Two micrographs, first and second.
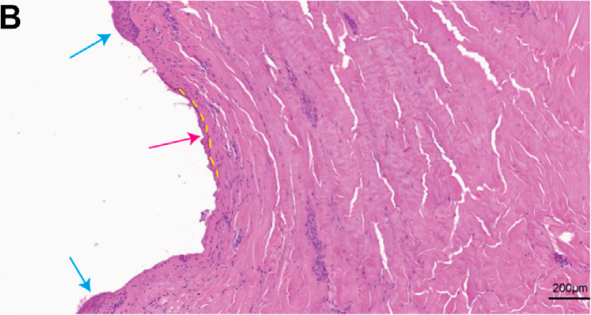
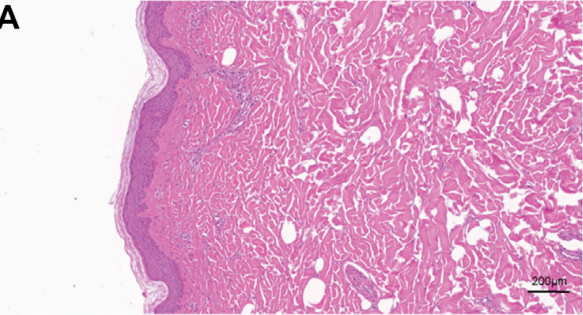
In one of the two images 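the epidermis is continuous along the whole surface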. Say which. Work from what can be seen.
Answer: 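First image: the surface cell layer is missing over most of the surface, leaving only remnants at its ends. Second image: an unbroken purple cell layer with a pale outer layer covers the entire surface. That points to this answer: the second image.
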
